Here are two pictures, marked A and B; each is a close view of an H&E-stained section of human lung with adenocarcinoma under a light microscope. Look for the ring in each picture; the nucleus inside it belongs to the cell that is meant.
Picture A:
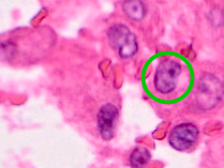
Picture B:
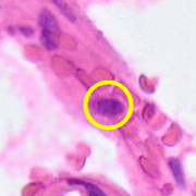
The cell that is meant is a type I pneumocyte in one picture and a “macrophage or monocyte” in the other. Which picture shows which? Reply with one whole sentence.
In picture A the cell is a “macrophage or monocyte”; in picture B, a type I pneumocyte.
